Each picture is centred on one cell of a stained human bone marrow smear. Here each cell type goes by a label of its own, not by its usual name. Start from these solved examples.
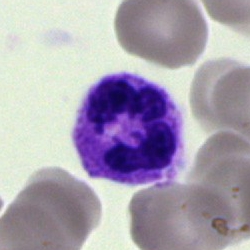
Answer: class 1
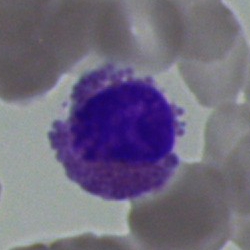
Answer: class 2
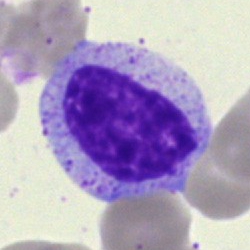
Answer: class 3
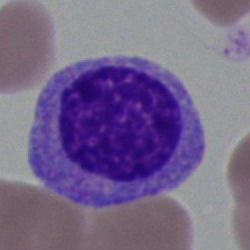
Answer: class 3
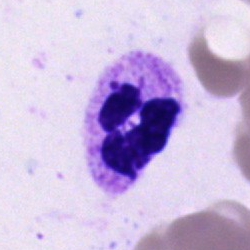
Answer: class 1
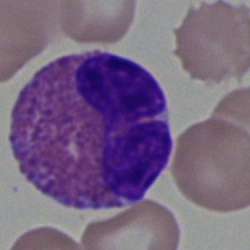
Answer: class 2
